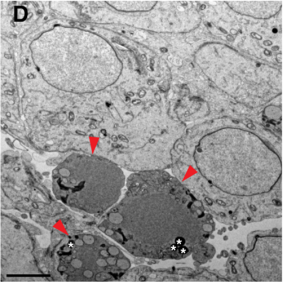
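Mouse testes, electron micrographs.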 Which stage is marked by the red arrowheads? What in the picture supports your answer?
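They are sharply separated from the surrounding paler tissue. Neighbouring cells have pale nuclei of normal texture. On this evidence: apoptosis.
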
